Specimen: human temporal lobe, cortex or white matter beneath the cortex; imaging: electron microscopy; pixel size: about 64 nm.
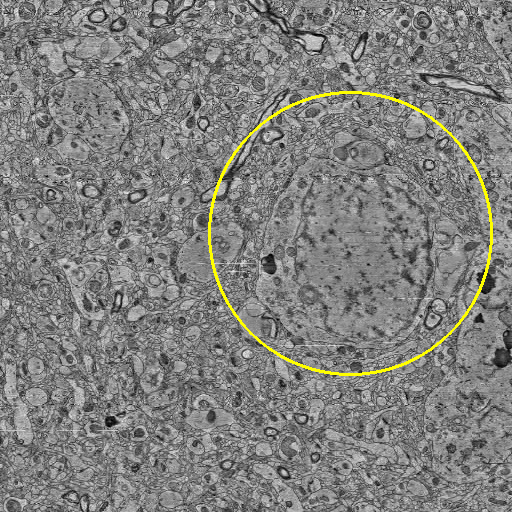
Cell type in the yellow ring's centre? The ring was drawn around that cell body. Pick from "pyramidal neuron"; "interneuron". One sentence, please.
The ringed cell body is that of an interneuron.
